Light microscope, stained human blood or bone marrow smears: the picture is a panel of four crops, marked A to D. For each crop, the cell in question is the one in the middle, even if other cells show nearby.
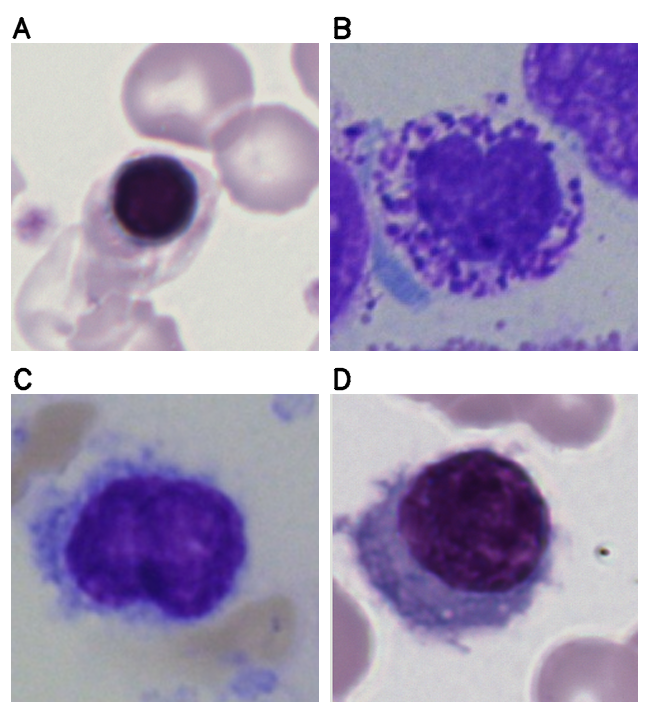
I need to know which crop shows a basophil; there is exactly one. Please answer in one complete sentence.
The one showing a basophil is the crop labelled B.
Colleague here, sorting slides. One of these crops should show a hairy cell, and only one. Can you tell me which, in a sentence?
The crop with a hairy cell in it is crop C.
